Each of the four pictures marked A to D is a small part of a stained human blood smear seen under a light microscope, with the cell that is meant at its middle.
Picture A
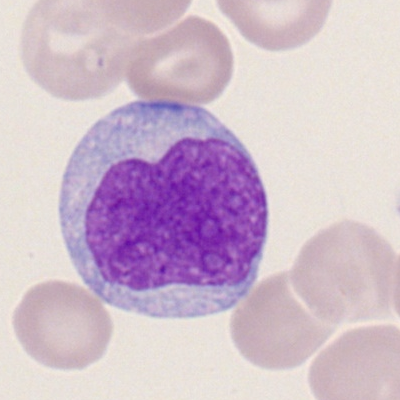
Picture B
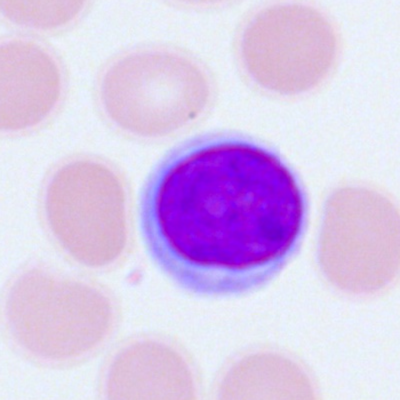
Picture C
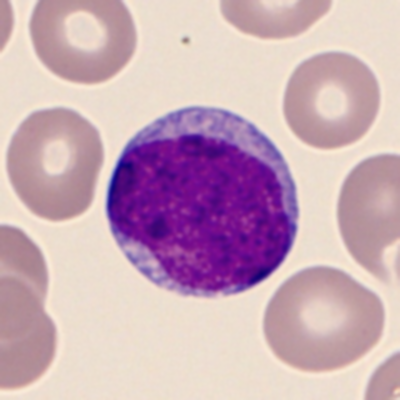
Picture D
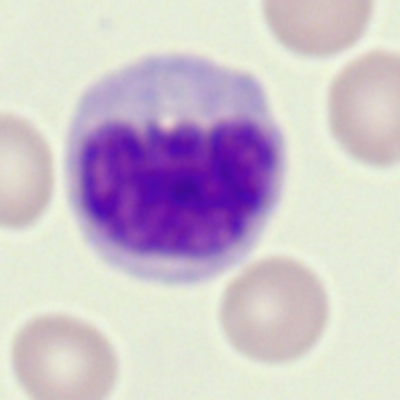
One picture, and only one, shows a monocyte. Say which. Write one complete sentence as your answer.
The cell in picture D is the monocyte.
